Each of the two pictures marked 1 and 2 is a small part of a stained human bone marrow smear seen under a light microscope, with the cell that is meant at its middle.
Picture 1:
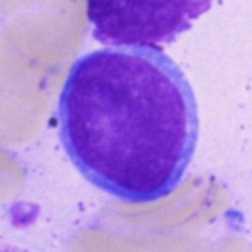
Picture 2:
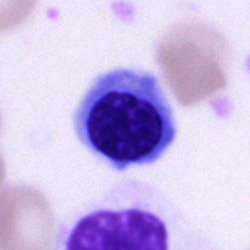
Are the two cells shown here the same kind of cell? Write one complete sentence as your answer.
No, the types are not the same, since picture 1 shows a blast and picture 2 an erythroblast.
